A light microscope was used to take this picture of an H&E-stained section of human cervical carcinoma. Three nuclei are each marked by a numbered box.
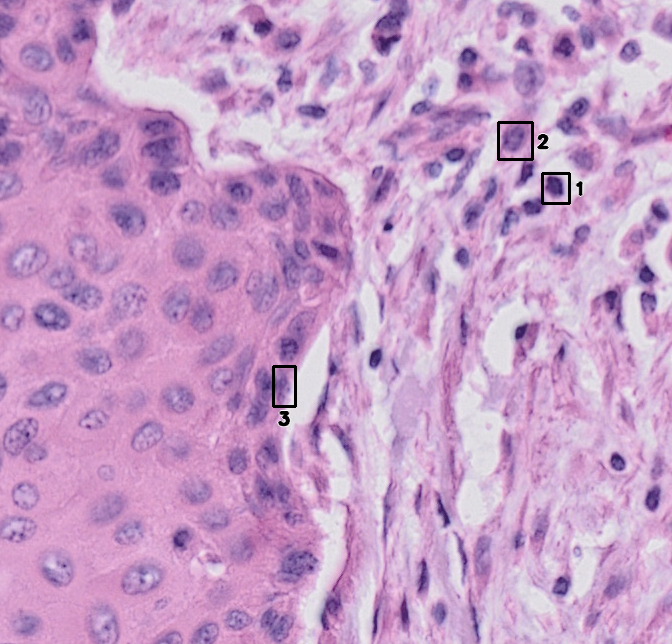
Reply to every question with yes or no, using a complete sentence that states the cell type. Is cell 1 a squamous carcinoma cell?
No, the identification of cell 1 as a squamous carcinoma cell is incorrect; it is a lymphocyte.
